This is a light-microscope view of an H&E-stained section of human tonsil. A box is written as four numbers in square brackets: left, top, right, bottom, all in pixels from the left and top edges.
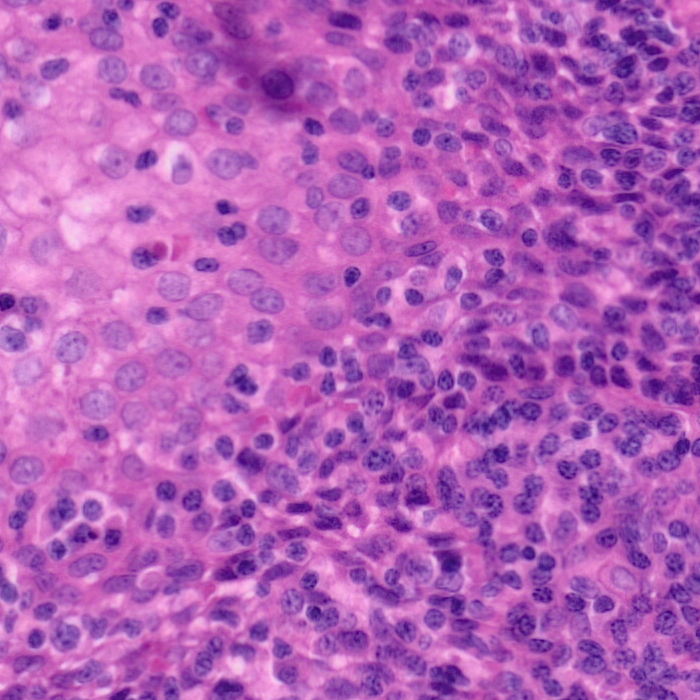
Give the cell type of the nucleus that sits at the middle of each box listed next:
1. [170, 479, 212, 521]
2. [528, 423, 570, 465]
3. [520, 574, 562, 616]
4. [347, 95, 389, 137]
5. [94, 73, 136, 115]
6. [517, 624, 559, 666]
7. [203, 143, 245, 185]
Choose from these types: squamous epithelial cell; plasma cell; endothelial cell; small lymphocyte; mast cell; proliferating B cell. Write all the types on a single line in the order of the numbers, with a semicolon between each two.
plasma cell; plasma cell; plasma cell; squamous epithelial cell; squamous epithelial cell; plasma cell; squamous epithelial cell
